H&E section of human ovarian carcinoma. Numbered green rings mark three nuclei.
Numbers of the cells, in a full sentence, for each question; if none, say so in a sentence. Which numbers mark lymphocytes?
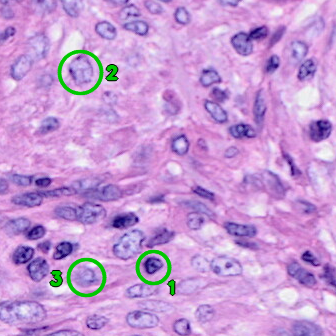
Only number 1 of the marked cells is a lymphocyte.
